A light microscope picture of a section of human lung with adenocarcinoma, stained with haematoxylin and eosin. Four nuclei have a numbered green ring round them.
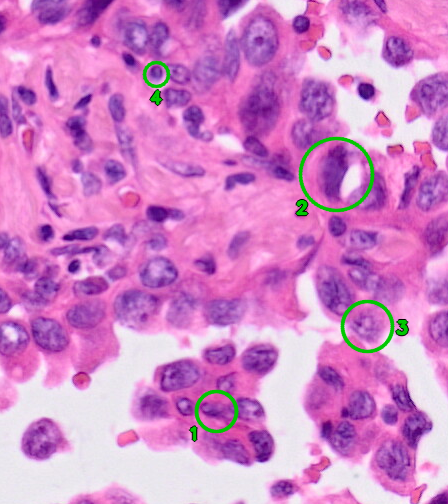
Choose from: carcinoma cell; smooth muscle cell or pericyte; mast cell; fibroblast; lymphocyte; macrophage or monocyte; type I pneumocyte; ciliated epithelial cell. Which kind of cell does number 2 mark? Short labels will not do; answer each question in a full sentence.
Looking at the numbered marks, cell 2 is a carcinoma cell.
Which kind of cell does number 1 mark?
Within this field of view, the cell labelled 1 is a carcinoma cell.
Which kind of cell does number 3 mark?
The one numbered 3 among the marked cells is a carcinoma cell.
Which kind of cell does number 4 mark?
In the tissue shown, cell 4 is a lymphocyte.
